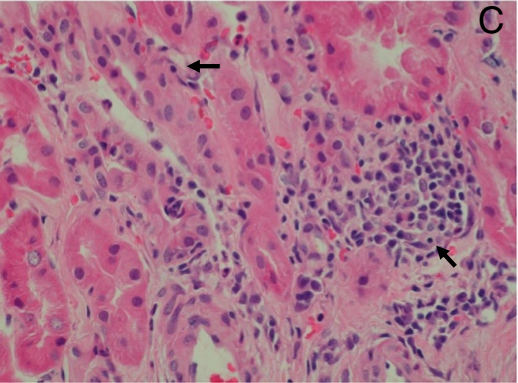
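Renal cortex at high magnification showing tubules and lymphocytes in the interstitium and tubular walls. Tubular epithelial cells have abundant pink cytoplasm and round to oval nuclei, lining open lumina. A dense focus of small round cells with dark, compact nuclei and scant cytoplasm lies in the interstitium beside the tubules. Scattered similar small dark nuclei sit within the epithelial layer of an adjacent tubule. Red blood cells are visible in small interstitial capillaries.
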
